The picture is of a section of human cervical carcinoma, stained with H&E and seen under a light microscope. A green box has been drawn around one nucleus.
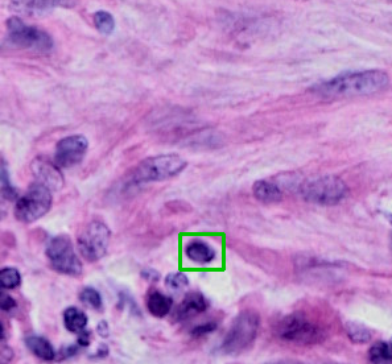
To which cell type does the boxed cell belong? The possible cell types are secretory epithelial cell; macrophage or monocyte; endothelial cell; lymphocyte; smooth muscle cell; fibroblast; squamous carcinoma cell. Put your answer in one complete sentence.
At the level of cell identity, the boxed cell is a lymphocyte.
